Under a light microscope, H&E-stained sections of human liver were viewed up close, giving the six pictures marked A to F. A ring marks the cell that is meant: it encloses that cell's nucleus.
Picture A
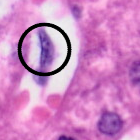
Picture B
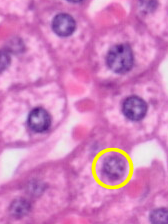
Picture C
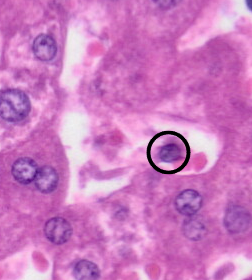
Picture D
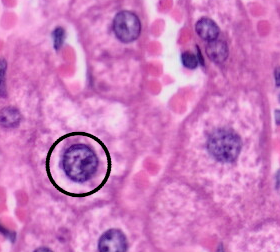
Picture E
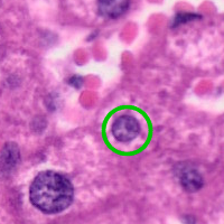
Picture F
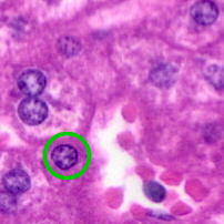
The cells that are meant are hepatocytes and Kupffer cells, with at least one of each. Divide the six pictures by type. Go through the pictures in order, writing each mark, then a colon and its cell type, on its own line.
A: Kupffer cell
B: hepatocyte
C: Kupffer cell
D: hepatocyte
E: hepatocyte
F: hepatocyte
